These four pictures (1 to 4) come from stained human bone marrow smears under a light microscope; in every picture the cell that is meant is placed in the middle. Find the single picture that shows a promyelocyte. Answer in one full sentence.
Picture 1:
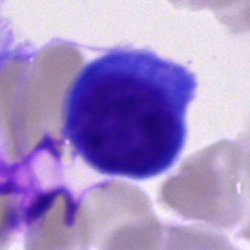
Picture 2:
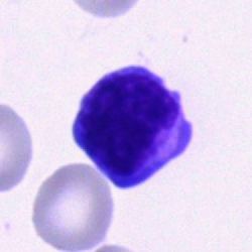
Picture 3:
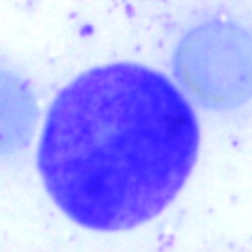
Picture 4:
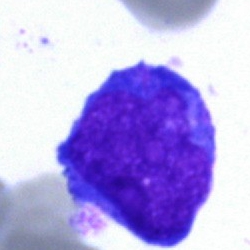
It is picture 3 that shows the promyelocyte.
